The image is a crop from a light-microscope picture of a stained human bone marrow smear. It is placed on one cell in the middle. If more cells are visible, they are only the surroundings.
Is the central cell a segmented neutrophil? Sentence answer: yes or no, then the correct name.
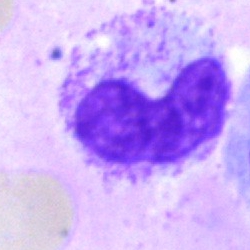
No, the cell occupying the centre is a band neutrophil, not a segmented neutrophil.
